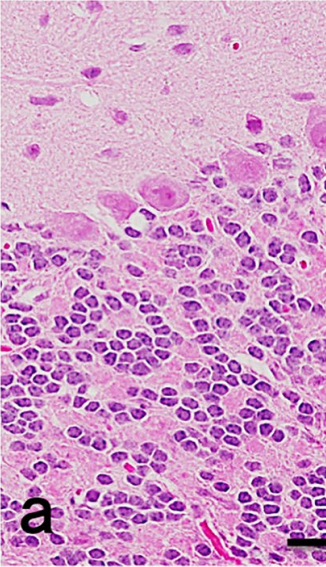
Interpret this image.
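This is the cortex of the cerebellum stained with hematoxylin and eosin, showing its layers. In the lower part lies the granular layer, a dense crowd of small, round, darkly purple nuclei with very little cytoplasm around them. Along the border above it runs a row of large Purkinje cells, whose cell bodies are much bigger than their neighbours and have abundant pink cytoplasm. Above them is the molecular layer, a pale pink, finely fibrous zone with only a few scattered small nuclei. The contrast in size between the large Purkinje cell bodies and the tiny granule cells is the key to orienting yourself here.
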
